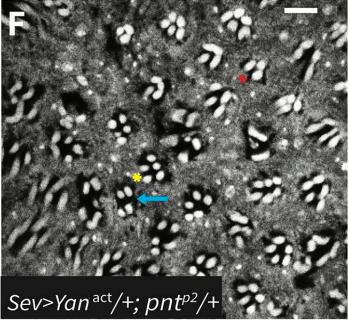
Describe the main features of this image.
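Here the compound eye is seen in cross-section, with bright rounded and elongated profiles marking the rhabdomeres of photoreceptor cells grouped into ommatidia. The clusters are less regular than in a normal eye: many contain only a few rhabdomeres, and the ring around the central dark space is often incomplete. Some clusters are distorted or elongated, and the spacing of the array is uneven. Sparse clusters with three or four outer rhabdomeres sit next to fuller ones.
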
